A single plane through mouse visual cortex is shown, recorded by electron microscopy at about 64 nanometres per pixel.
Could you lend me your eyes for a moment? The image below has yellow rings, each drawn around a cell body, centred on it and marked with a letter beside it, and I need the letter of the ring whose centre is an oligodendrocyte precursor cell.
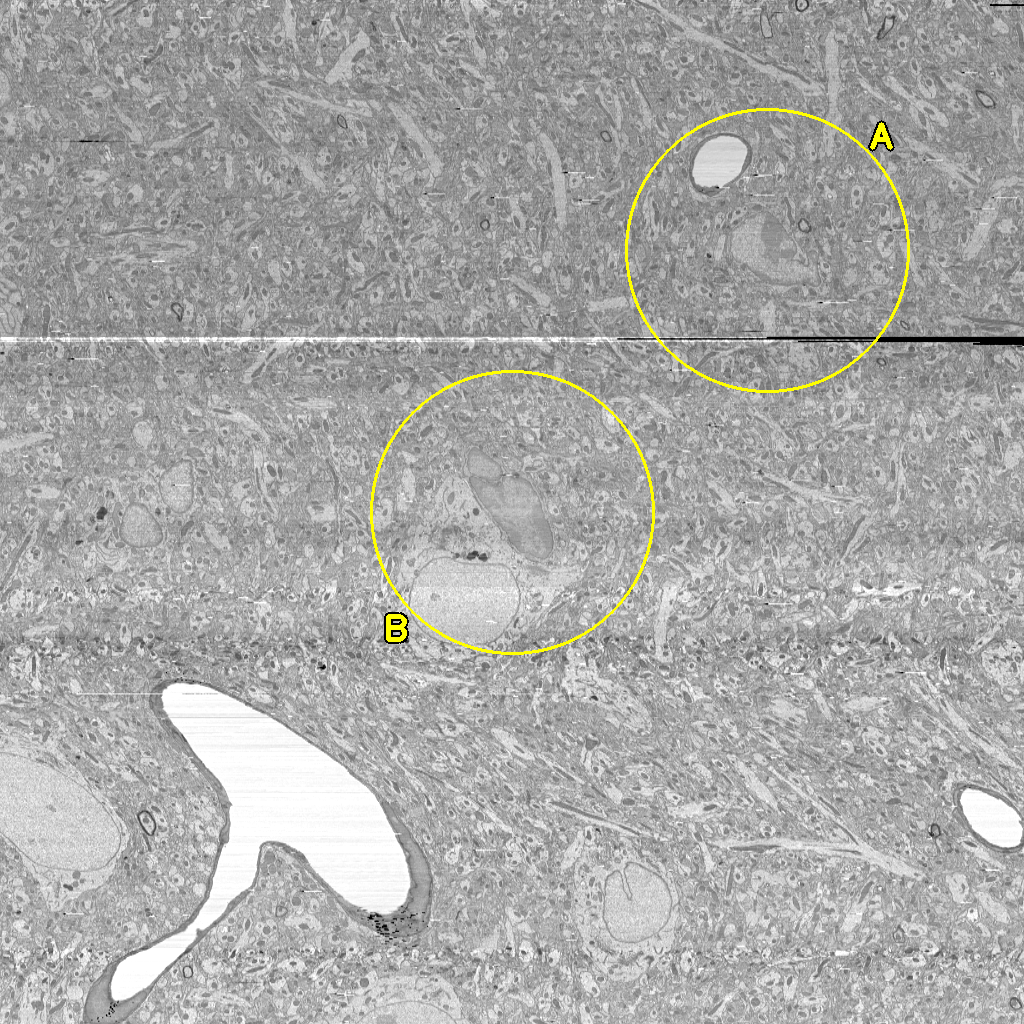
A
